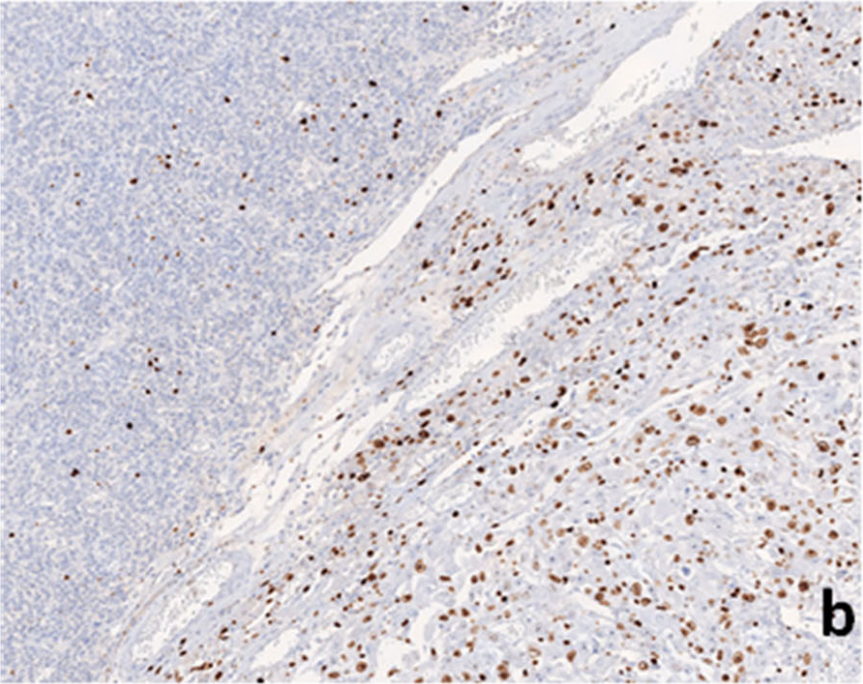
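On the upper left, a dense sheet of small cells shows only scattered brown nuclei. Across a diagonal band of looser stroma with slit-like clear spaces, the lower right area contains many brown nuclei, some of them large, distributed throughout the tissue. The sharp change in the number of brown nuclei follows the boundary between the two regions.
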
